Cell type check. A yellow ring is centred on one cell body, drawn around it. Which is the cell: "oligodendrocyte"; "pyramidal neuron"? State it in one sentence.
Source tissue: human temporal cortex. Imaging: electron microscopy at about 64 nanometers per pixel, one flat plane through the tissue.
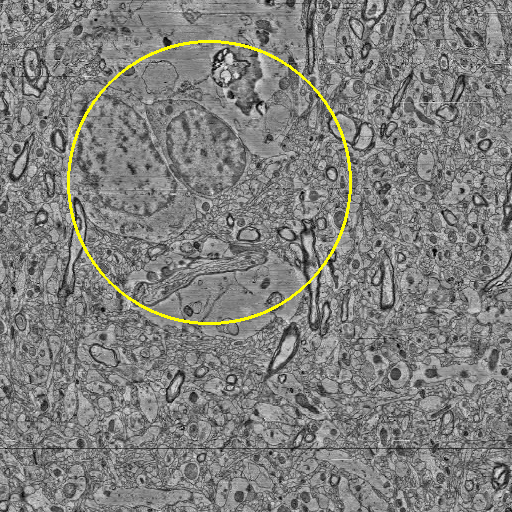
The cell body at the ring's centre belongs to an oligodendrocyte.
